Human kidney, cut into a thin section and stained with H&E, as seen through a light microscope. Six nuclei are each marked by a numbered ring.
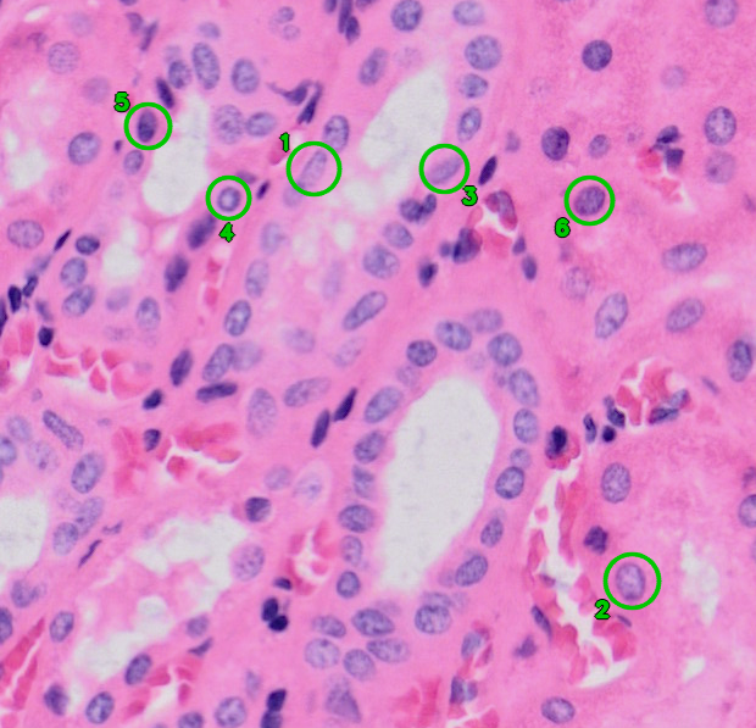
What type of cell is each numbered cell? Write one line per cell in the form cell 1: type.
cell 1: collecting duct cell
cell 2: proximal tubule cell
cell 3: collecting duct cell
cell 4: collecting duct cell
cell 5: collecting duct cell
cell 6: proximal tubule cell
